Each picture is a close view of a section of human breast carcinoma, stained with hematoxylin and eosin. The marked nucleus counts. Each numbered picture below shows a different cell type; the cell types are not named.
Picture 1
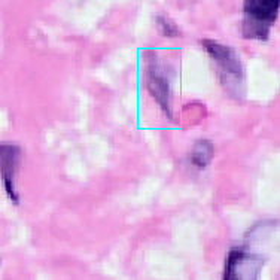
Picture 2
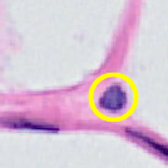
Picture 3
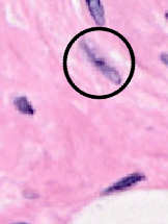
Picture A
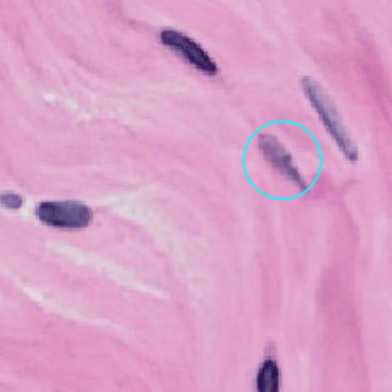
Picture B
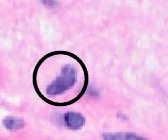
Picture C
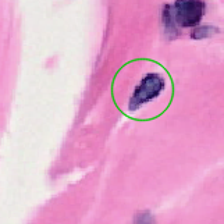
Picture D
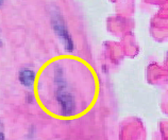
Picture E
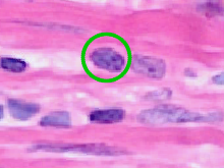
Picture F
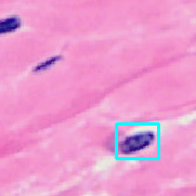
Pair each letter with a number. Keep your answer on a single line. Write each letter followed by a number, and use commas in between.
A 3, B 2, C 2, D 1, E 2, F 2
